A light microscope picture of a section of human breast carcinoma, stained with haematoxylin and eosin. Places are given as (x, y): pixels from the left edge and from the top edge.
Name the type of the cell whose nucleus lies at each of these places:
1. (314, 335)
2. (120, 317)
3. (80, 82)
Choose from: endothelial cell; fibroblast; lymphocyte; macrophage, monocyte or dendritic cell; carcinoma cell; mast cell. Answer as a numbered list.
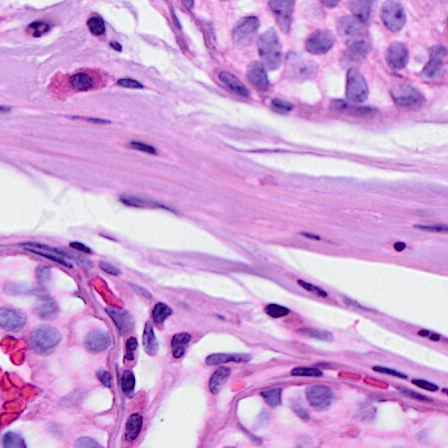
1. fibroblast
2. endothelial cell
3. mast cell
